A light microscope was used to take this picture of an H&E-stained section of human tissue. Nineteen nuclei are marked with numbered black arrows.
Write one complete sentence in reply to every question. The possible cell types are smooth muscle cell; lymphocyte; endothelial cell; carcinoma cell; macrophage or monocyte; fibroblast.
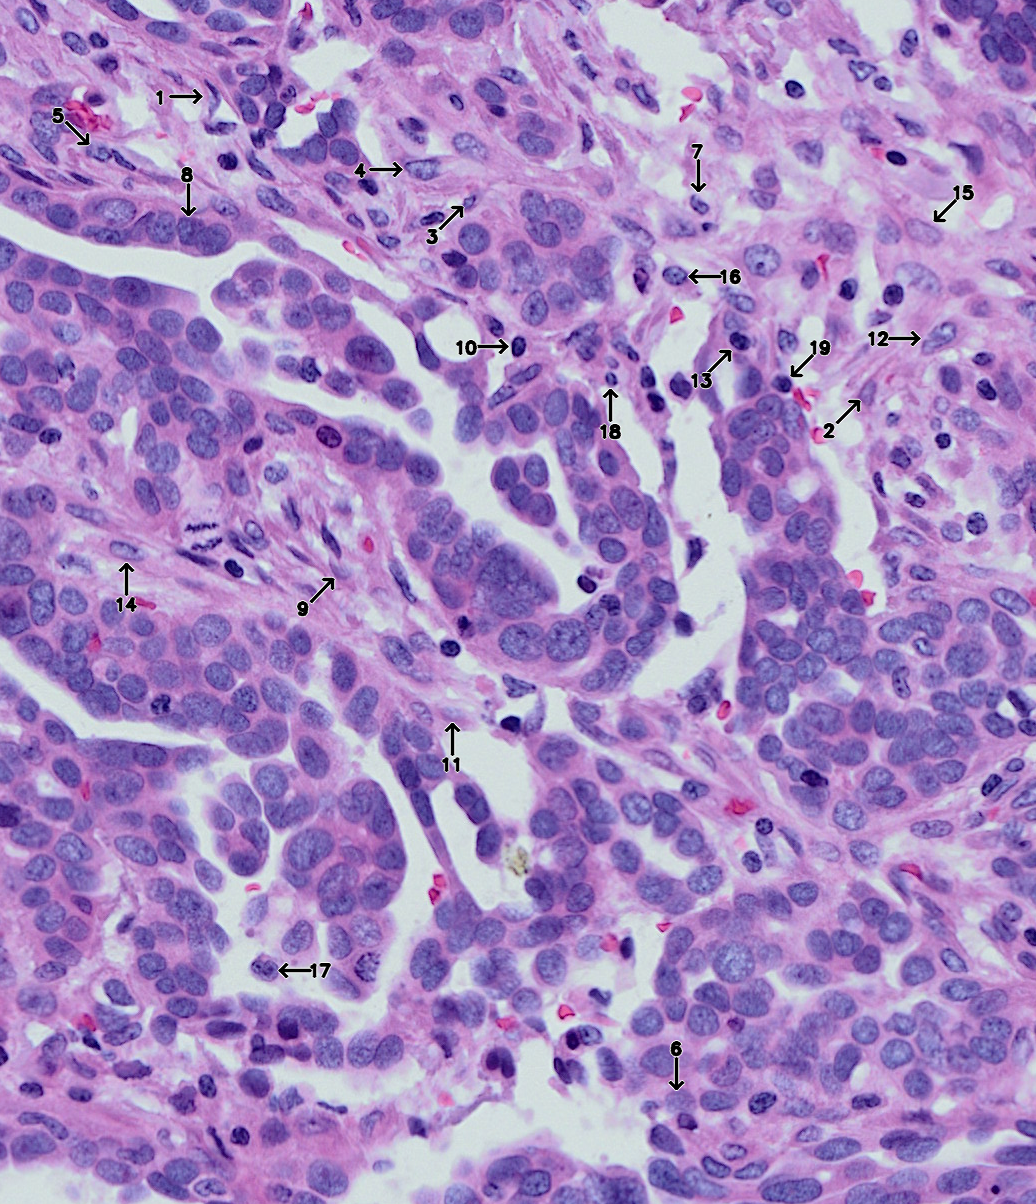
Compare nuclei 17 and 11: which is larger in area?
Nucleus 17 covers more area, about 2.5 times as much as nucleus 11.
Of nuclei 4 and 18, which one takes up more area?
Nucleus 4 covers more area, about 4 times as much as nucleus 18.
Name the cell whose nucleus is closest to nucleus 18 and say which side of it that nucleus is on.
Just above nucleus 18 lies the nearest nucleus, which belongs to a macrophage or monocyte.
